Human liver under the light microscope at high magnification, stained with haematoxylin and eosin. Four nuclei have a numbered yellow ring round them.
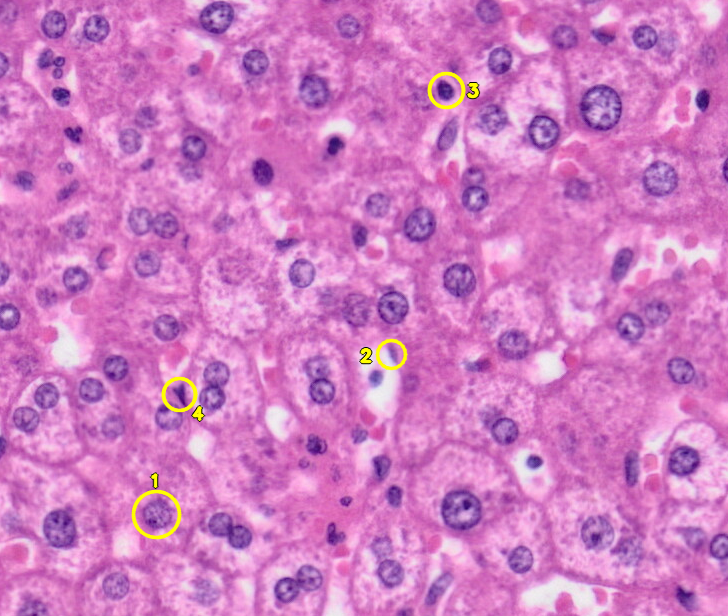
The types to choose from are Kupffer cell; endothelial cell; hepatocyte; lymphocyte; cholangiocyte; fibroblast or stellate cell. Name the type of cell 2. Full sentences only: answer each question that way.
The cell referenced by the number 2 is an endothelial cell in this field.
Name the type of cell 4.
Identified by the number 4, the cell is a fibroblast or stellate cell.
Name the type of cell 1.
Corresponding to a hepatocyte is the cell labelled 1.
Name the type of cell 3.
The cell numbered 3 represents a lymphocyte.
